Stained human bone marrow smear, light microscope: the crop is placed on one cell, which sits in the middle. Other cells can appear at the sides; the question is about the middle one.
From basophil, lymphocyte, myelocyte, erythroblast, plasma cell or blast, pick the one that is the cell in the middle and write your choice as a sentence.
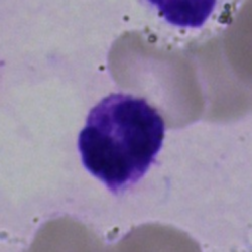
By classification, the middle cell of this crop is a basophil.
